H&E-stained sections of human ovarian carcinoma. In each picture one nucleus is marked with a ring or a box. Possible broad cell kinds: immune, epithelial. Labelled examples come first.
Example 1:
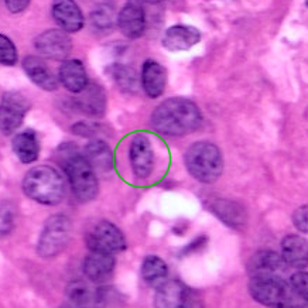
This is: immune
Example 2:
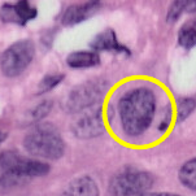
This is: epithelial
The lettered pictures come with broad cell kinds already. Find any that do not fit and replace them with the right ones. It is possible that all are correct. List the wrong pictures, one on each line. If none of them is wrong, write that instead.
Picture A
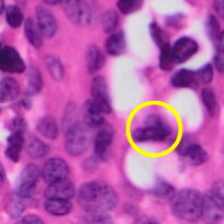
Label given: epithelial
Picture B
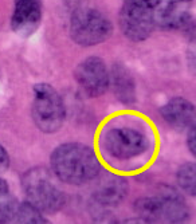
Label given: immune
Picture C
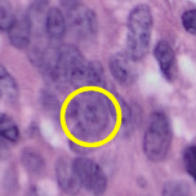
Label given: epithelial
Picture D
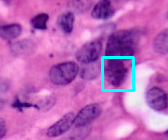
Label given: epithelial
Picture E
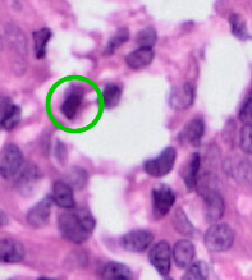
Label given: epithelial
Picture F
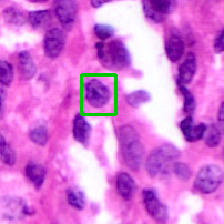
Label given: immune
Every label is right.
